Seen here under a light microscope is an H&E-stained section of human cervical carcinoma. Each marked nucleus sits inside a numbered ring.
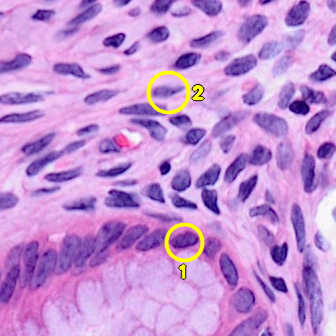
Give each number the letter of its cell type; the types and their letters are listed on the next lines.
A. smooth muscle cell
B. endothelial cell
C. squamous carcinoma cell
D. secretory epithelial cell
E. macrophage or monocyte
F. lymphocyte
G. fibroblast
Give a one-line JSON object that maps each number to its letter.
{"1": "D", "2": "G"}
